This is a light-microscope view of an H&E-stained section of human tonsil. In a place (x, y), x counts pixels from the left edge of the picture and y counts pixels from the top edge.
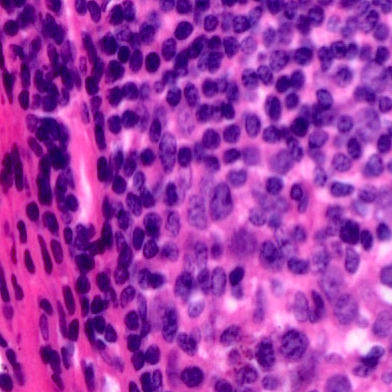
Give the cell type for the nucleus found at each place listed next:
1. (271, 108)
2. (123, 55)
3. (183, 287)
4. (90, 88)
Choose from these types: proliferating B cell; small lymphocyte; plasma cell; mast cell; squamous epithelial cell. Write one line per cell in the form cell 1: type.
cell 1: small lymphocyte
cell 2: small lymphocyte
cell 3: proliferating B cell
cell 4: small lymphocyte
